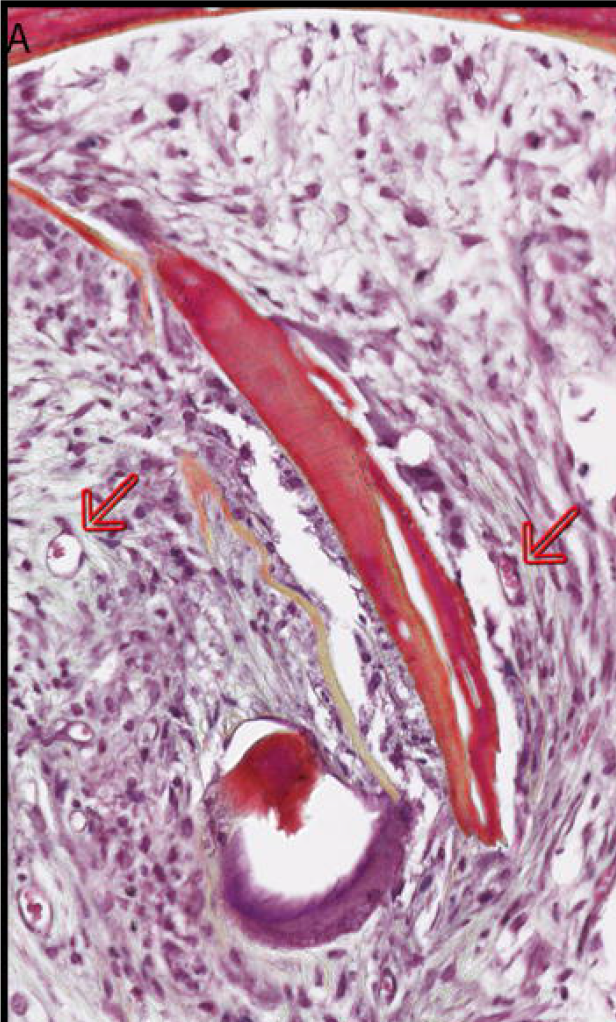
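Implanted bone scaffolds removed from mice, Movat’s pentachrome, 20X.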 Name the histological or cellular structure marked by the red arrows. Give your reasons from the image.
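The arrows point to small round lumens within the purple-stained cellular tissue. The lumens are rimmed by thin flattened cells.
Answer: small vessels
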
